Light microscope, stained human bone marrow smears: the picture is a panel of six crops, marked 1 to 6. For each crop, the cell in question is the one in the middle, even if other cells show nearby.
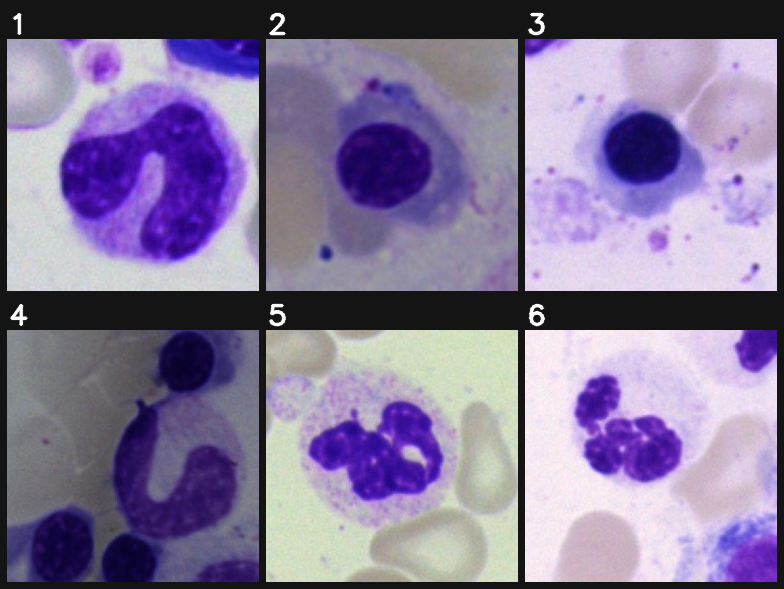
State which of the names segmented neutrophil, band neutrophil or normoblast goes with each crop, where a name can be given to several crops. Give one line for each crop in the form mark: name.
1: band neutrophil
2: normoblast
3: normoblast
4: band neutrophil
5: segmented neutrophil
6: segmented neutrophil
